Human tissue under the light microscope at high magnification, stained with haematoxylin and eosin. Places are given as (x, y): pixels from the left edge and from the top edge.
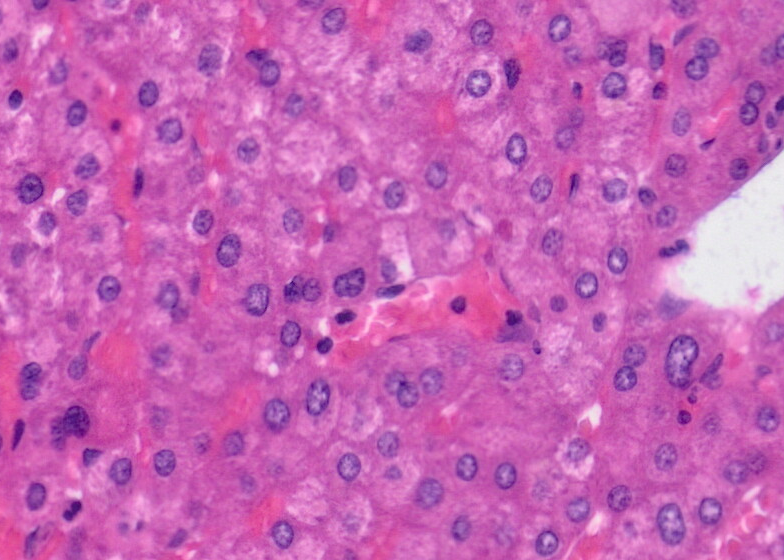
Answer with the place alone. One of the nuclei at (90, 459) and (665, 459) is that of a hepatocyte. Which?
(665, 459)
